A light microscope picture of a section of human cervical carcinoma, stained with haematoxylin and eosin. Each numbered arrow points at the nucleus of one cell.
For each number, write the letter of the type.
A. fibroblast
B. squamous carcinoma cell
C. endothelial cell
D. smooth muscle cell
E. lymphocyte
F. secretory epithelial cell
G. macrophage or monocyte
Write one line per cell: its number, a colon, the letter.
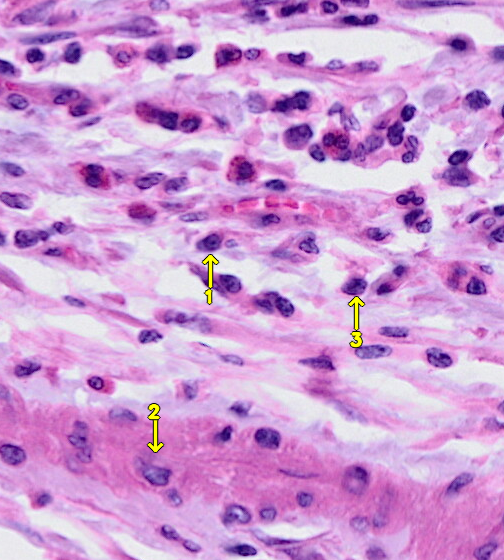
1: E
2: D
3: E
